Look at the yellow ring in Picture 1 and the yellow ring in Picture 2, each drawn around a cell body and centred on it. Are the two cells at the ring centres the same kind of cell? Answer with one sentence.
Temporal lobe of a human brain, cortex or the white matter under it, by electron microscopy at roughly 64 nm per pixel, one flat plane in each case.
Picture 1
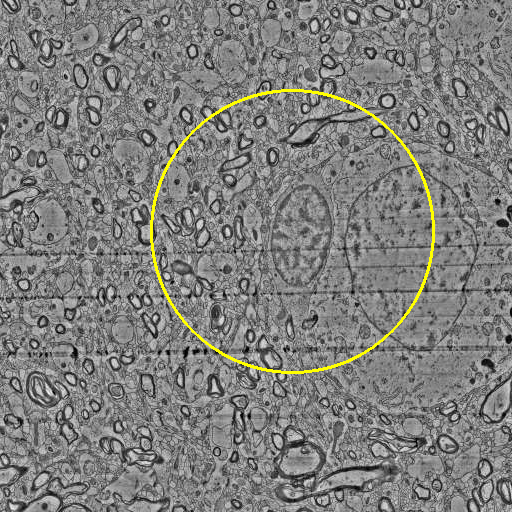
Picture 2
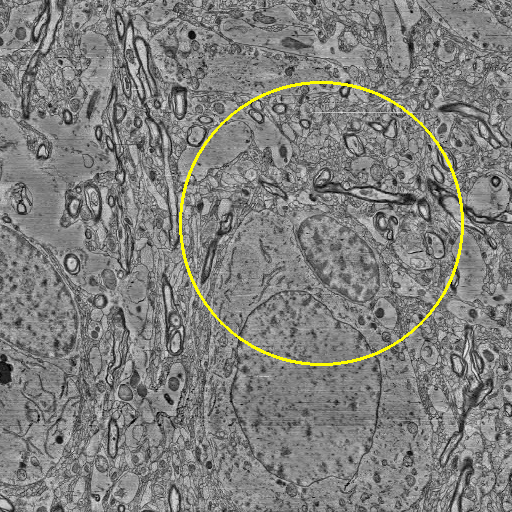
Yes, both are the same kind of cell.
